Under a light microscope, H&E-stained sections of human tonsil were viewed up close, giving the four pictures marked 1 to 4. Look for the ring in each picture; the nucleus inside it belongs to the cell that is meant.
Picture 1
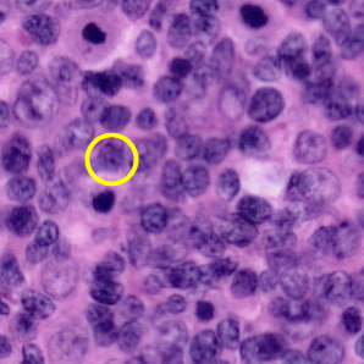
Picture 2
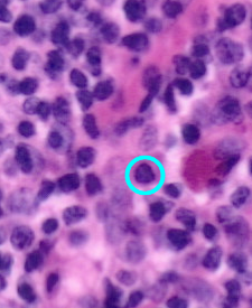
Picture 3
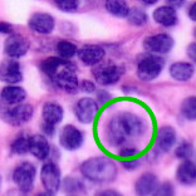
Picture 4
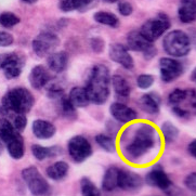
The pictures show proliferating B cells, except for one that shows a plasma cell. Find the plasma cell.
2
